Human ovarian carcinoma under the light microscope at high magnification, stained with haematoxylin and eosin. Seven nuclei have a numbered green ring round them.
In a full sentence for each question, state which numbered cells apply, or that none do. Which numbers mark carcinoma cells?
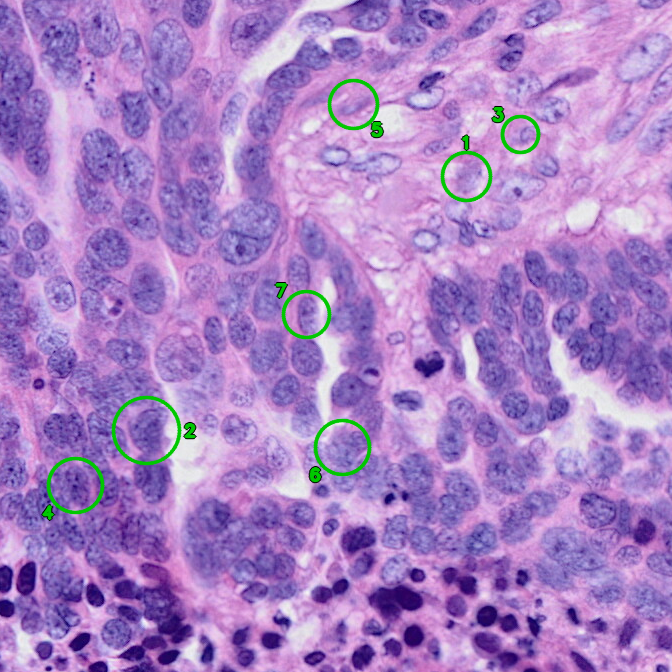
The cells marked 2, 4, 6 and 7 in the section are carcinoma cells.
